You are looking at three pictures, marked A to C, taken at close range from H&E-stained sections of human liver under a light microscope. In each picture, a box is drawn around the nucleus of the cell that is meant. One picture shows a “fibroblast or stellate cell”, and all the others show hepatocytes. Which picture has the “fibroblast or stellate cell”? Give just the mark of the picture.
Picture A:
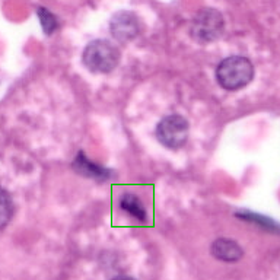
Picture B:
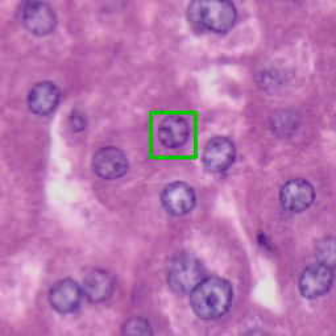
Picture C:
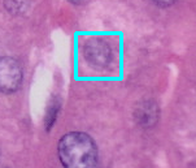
A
